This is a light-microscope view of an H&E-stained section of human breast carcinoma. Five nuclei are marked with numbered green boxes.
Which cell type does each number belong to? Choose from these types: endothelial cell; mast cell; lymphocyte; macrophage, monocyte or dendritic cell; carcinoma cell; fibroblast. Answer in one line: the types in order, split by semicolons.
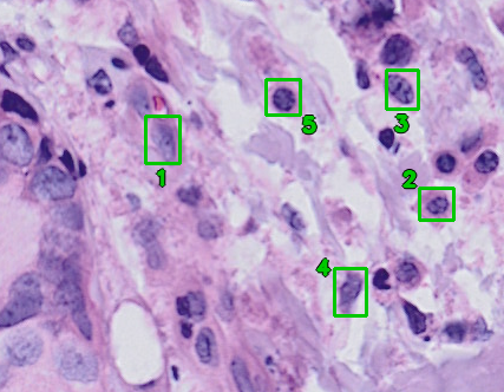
endothelial cell; mast cell; mast cell; fibroblast; mast cell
